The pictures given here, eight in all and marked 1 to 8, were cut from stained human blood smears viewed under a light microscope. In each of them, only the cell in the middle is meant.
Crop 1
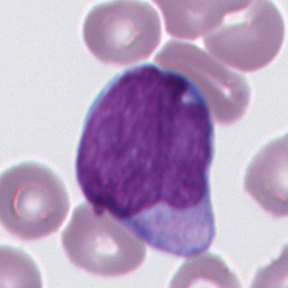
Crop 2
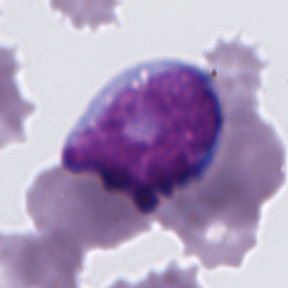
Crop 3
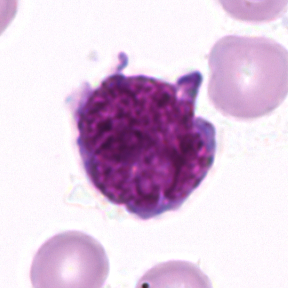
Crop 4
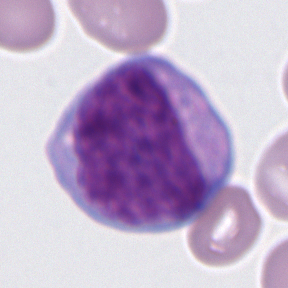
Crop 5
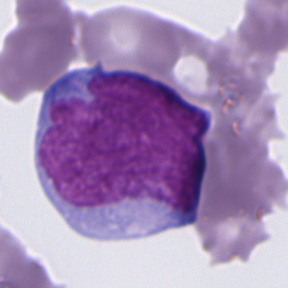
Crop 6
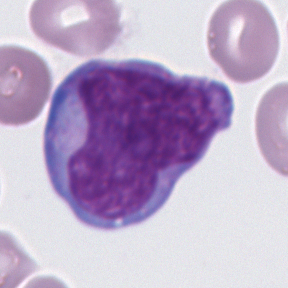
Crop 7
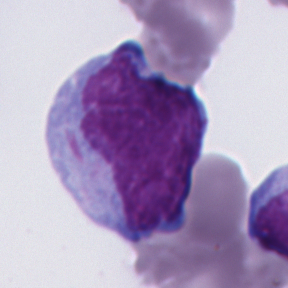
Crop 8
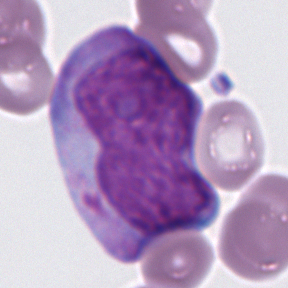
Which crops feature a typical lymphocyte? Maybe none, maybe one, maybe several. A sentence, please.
The series of crops is entirely without a typical lymphocyte.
